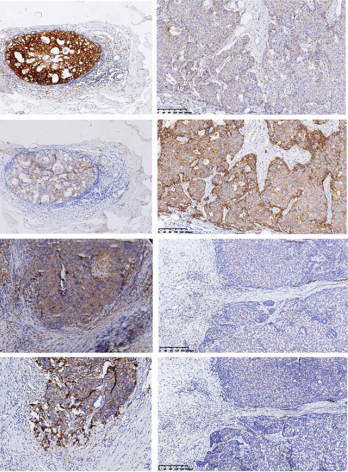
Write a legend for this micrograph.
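Eight low-power fields of carcinoma tissue show nests and sheets of densely packed tumour cells set in a pale fibrous stroma. In some fields a rounded tumour nest is intensely brown throughout, while in others the brown is weaker or confined to cell borders, and some fields are almost entirely blue.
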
